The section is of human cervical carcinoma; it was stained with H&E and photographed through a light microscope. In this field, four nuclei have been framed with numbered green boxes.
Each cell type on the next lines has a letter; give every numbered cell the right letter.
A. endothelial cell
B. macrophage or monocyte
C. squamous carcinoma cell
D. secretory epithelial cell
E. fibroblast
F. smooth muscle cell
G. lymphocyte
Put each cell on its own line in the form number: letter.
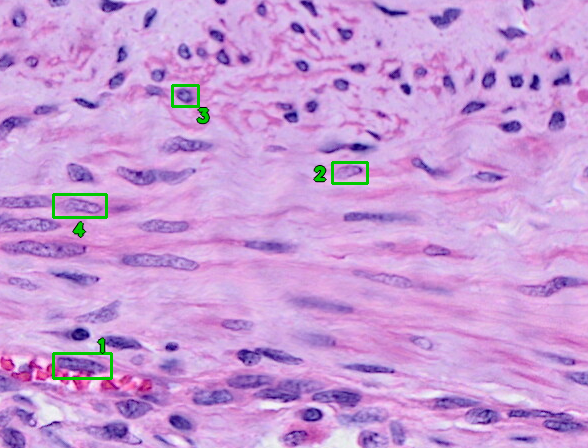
1: A
2: F
3: F
4: F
